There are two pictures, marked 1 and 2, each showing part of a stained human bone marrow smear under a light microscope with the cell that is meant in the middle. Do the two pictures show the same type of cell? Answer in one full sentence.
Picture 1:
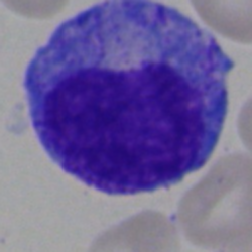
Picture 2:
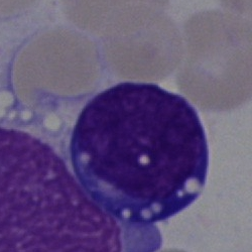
No, they differ: the cell is a promyelocyte in picture 1 and a blast in picture 2.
